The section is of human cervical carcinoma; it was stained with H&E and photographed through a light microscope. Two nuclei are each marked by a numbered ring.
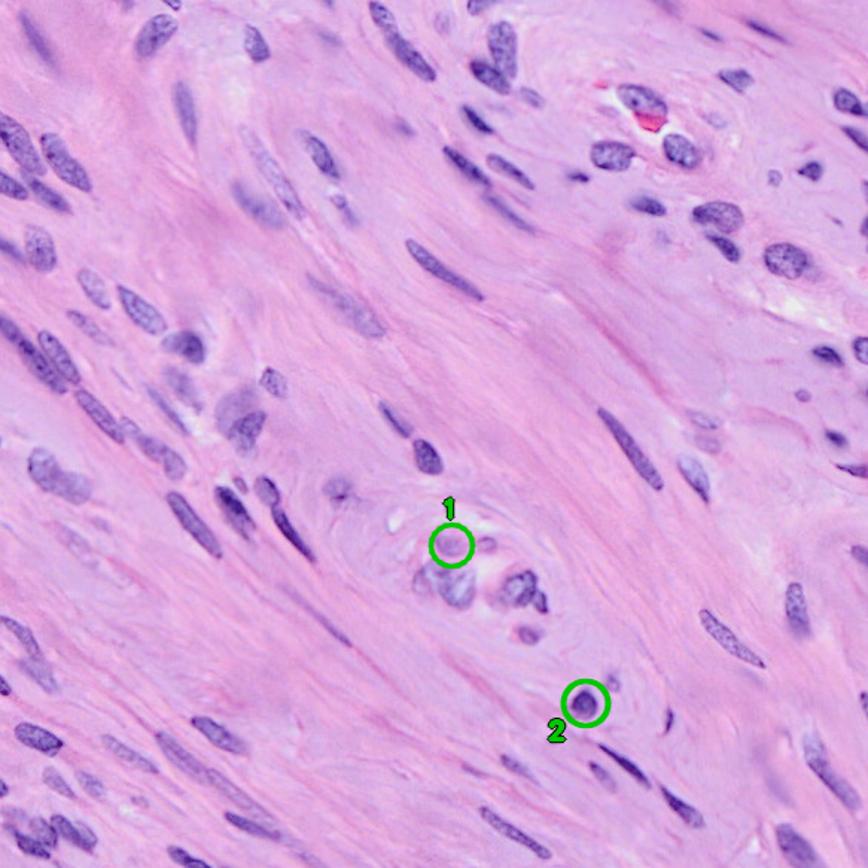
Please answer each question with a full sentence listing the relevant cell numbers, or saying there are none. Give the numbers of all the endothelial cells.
Of all the numbered cells, only one is an endothelial cell, and that is cell 1.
